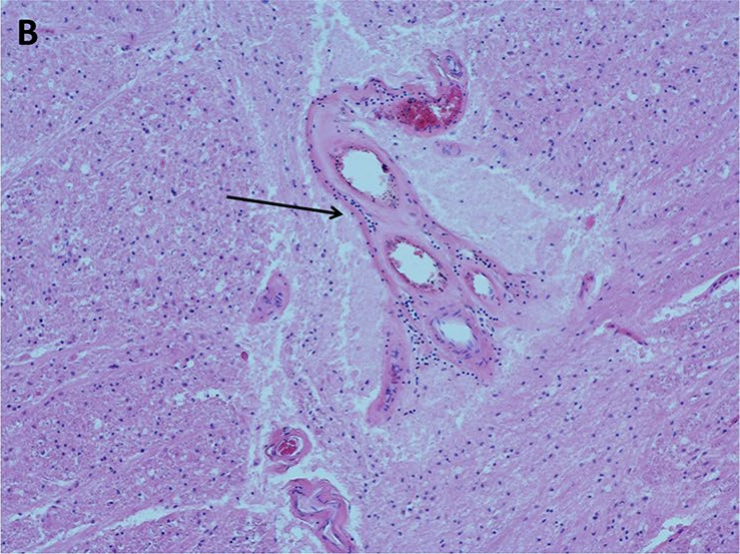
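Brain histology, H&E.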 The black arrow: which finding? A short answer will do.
perivascular lymphocytic infiltrate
